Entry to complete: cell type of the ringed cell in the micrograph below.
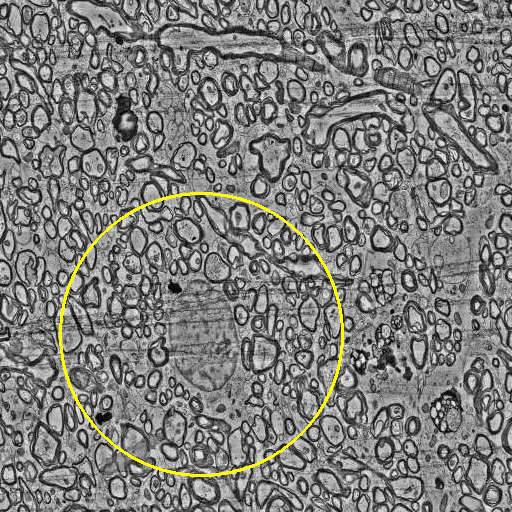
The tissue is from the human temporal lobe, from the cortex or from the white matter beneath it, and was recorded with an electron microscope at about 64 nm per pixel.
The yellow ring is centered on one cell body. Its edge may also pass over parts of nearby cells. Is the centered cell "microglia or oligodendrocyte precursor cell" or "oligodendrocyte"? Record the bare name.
oligodendrocyte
